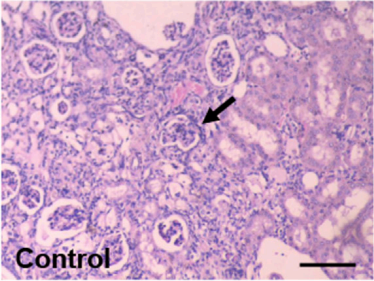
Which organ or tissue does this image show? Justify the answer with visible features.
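Several round glomerular tufts surrounded by clear capsular spaces. Tubule cross-sections lie between the glomeruli.
Answer: kidney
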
